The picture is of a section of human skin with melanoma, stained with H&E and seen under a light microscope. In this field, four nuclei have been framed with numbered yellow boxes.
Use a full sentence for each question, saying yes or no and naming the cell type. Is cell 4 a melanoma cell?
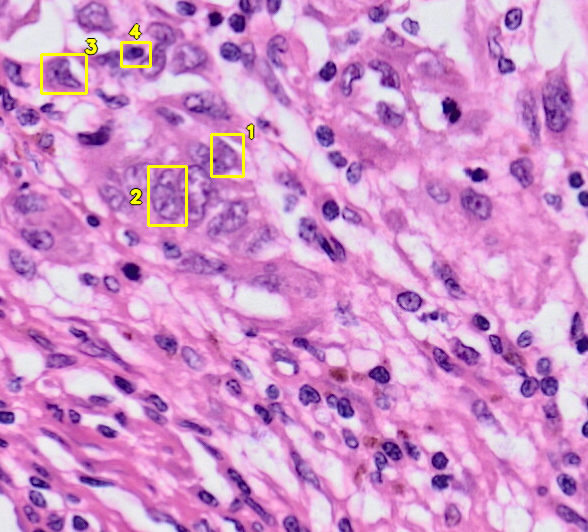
No, number 4 points to a lymphocyte and not to a melanoma cell.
